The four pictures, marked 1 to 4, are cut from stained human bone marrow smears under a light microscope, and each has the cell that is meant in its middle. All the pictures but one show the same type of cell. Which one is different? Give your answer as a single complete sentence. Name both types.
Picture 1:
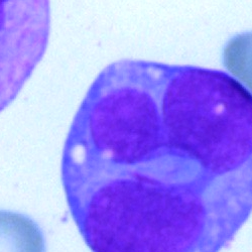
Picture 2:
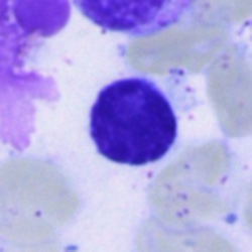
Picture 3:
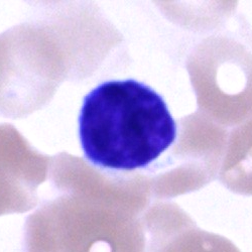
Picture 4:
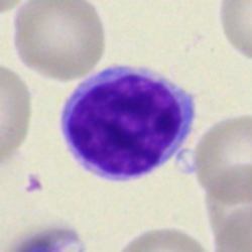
Unlike the rest, which show lymphocytes, picture 1 shows a blast.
